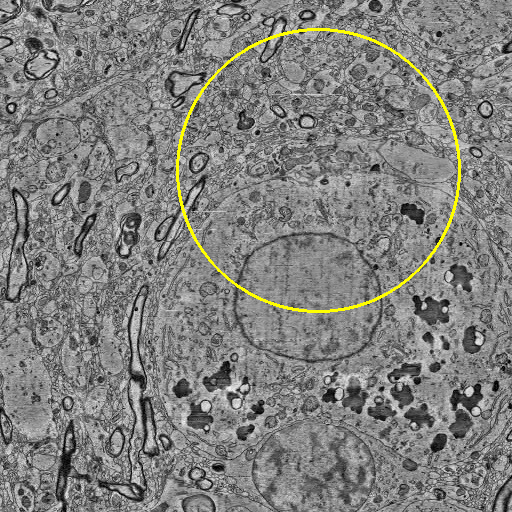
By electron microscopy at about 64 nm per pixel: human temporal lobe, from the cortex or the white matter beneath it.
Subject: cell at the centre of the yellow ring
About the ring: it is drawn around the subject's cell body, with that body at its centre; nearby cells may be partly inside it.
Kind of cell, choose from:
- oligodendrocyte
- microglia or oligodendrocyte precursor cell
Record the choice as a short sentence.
The subject cell is a microglial cell or oligodendrocyte precursor cell.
